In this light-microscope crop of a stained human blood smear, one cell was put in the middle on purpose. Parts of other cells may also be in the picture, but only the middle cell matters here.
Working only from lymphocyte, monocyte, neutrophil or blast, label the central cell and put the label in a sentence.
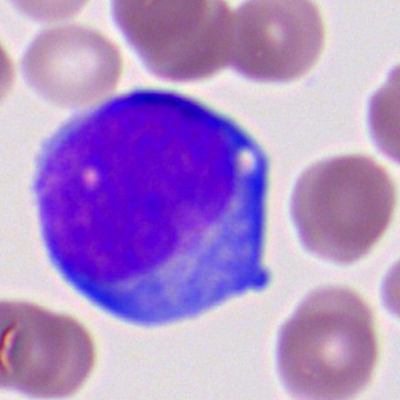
Centrally within this crop lies a blast.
